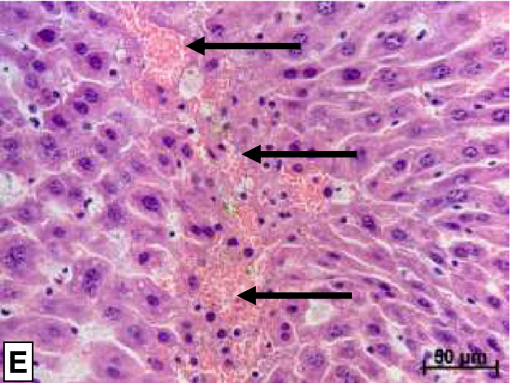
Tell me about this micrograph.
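Liver tissue with large polygonal hepatocytes having pink, evenly stained cytoplasm and round purple nuclei, arranged in cords, with scattered small dark nuclei between them. Along a band through the tissue lie clusters of small bright red round bodies without nuclei among the cells.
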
